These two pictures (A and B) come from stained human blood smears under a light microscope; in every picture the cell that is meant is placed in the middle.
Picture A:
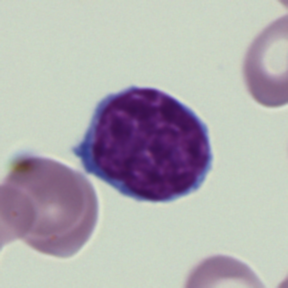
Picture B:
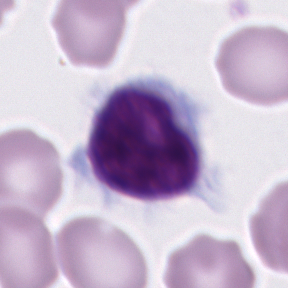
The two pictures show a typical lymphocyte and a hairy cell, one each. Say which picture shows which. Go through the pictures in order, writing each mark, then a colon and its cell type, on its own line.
A: typical lymphocyte
B: hairy cell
